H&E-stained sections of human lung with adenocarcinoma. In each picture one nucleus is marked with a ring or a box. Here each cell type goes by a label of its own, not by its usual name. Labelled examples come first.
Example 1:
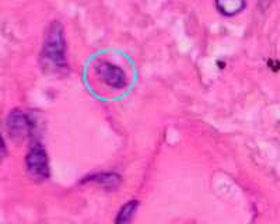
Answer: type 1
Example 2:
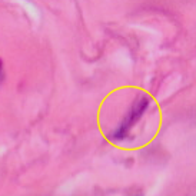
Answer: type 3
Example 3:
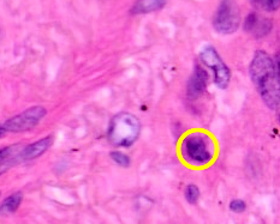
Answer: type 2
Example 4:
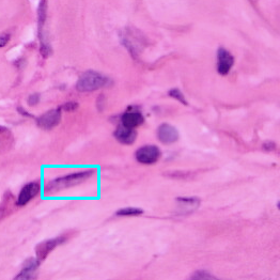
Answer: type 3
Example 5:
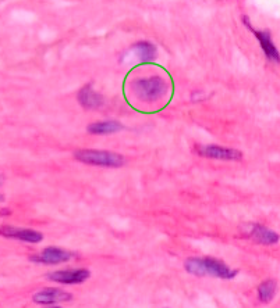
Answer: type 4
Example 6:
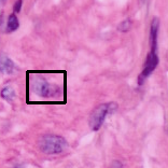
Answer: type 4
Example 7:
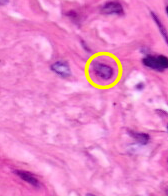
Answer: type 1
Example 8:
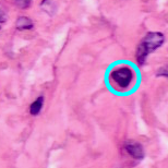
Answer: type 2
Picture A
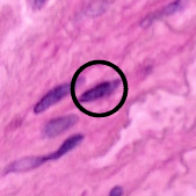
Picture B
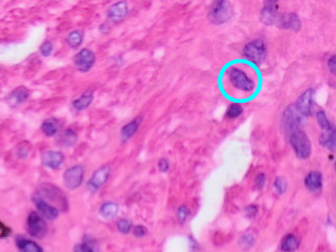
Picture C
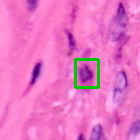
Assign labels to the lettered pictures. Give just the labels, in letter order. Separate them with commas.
type 4, type 1, type 2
